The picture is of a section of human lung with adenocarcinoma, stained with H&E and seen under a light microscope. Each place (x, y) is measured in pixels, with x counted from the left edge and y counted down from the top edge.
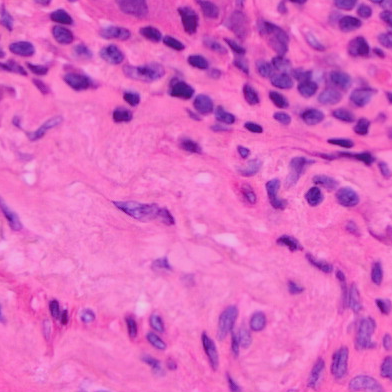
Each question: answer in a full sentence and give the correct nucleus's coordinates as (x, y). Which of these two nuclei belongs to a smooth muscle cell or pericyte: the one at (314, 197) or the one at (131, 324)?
Between the pair, the nucleus at (131, 324) belongs to a smooth muscle cell or pericyte.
